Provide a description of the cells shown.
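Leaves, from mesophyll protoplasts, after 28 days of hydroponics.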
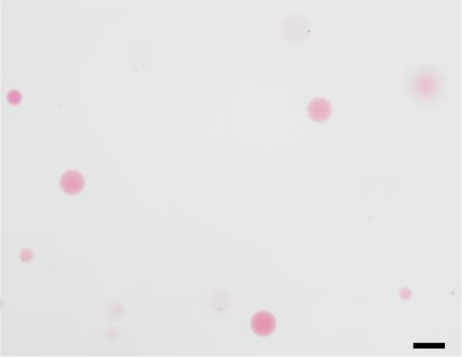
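Isolated plant vacuoles lie free in suspension. They are smooth, round spheres scattered singly on a pale background. None shows internal structure or green chloroplasts, so no remnant cytoplasm is evident. Some spheres are faint and out of focus, lying in other planes. They do not touch or clump together.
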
